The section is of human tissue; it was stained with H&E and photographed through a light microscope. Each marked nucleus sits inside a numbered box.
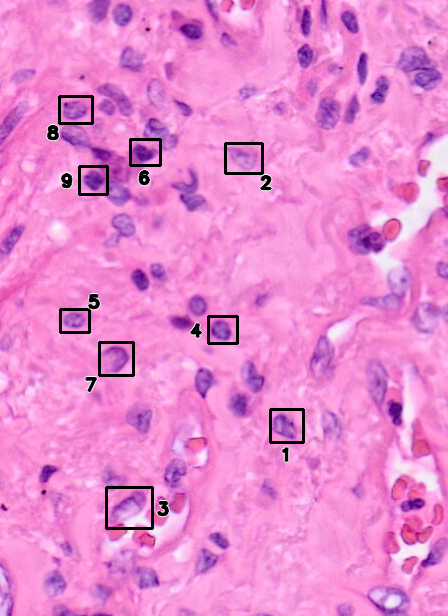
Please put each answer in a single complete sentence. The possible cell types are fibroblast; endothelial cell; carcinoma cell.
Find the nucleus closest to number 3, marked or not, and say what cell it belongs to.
The nucleus nearest to number 3 is that of a fibroblast.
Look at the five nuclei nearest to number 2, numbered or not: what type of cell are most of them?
Fibroblasts account for more than half of the five nuclei nearest to number 2.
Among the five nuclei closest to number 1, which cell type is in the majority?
Most of the five nuclei nearest to number 1 are those of fibroblasts.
